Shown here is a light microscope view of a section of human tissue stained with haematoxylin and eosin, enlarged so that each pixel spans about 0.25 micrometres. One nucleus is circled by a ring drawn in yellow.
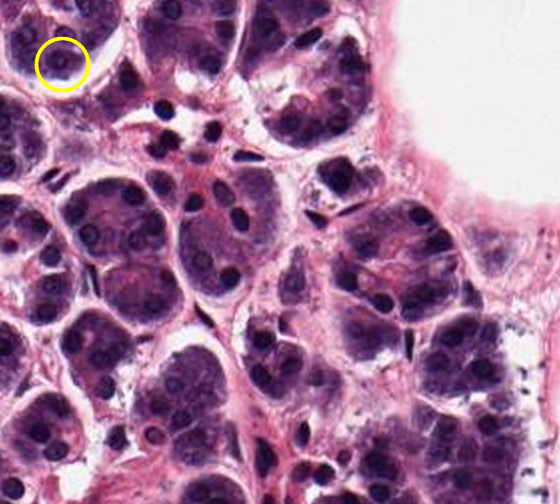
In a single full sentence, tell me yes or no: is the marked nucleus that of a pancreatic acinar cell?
Yes, the marked nucleus is present within a pancreatic acinar cell.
